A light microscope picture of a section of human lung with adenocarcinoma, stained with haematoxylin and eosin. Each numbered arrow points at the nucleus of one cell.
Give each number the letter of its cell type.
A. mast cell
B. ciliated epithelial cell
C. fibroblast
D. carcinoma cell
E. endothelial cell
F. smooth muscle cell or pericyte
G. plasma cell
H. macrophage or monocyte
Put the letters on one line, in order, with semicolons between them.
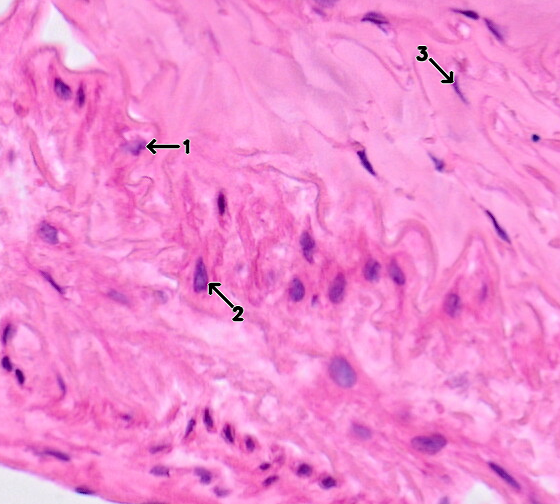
F; F; C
